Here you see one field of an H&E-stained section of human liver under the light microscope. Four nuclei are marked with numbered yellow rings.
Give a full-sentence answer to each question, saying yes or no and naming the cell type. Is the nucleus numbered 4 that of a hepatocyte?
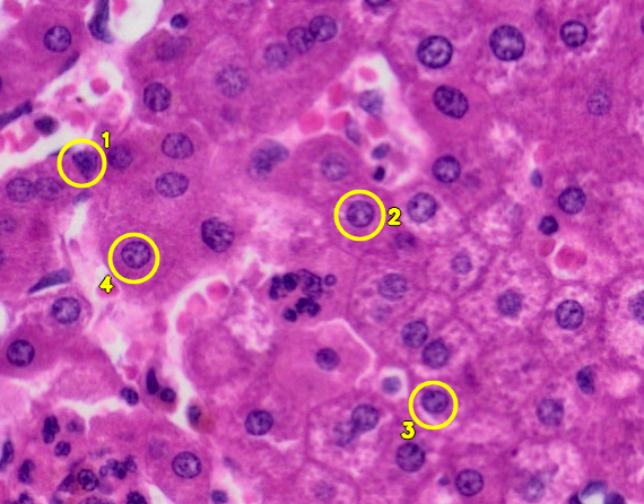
Yes, the numbered nucleus 4 is that of a hepatocyte.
